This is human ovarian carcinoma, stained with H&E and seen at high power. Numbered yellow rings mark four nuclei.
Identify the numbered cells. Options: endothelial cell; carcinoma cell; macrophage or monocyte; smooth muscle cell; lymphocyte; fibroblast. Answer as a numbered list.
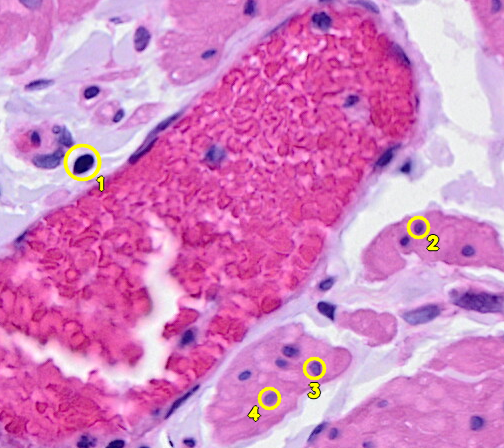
1. lymphocyte
2. smooth muscle cell
3. smooth muscle cell
4. smooth muscle cell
